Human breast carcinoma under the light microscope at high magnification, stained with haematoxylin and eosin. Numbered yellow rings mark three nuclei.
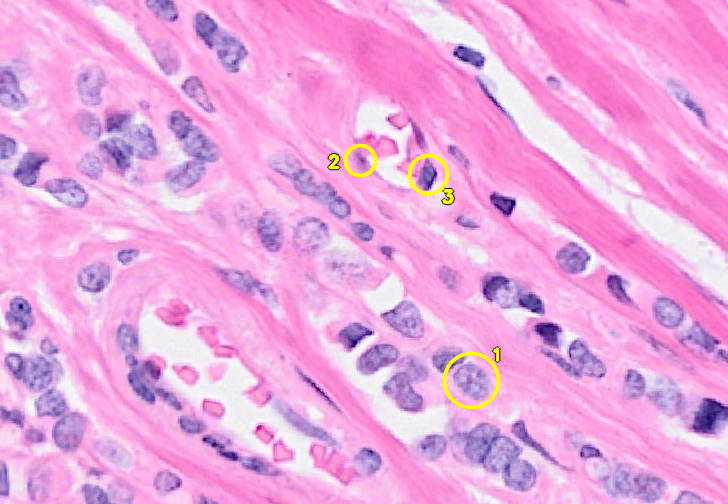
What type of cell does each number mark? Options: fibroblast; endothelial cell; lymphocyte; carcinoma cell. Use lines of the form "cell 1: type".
cell 1: carcinoma cell
cell 2: endothelial cell
cell 3: endothelial cell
